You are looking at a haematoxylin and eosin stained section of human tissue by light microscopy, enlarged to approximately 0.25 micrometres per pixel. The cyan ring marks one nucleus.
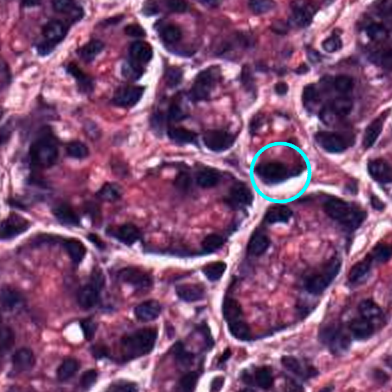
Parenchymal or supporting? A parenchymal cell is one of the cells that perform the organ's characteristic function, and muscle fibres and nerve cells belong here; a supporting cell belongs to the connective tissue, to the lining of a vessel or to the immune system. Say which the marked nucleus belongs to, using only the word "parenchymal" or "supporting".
parenchymal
